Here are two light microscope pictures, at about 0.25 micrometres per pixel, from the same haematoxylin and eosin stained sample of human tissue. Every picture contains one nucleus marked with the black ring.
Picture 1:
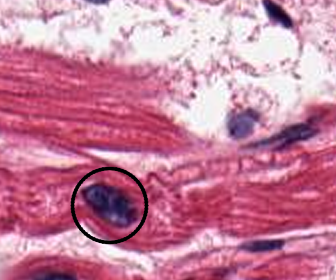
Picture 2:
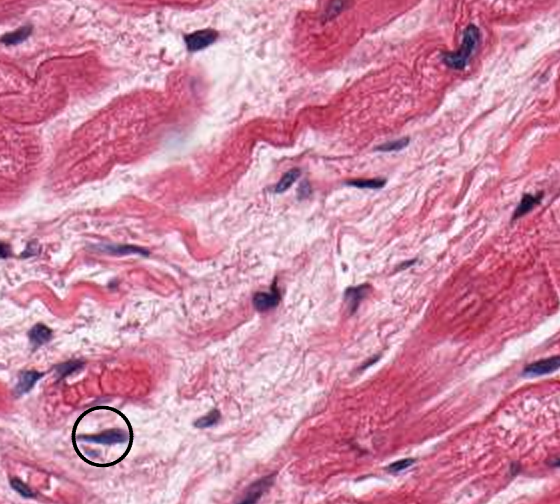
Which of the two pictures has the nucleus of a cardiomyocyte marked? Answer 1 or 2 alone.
1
